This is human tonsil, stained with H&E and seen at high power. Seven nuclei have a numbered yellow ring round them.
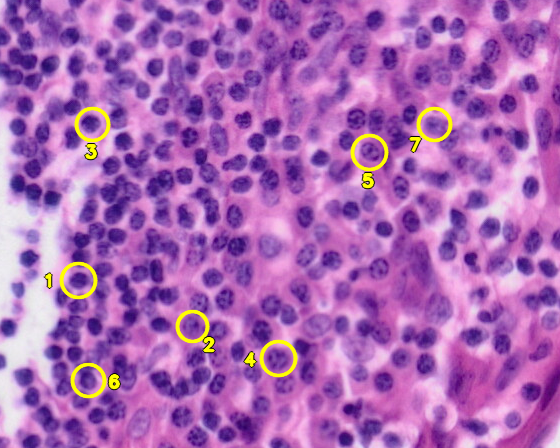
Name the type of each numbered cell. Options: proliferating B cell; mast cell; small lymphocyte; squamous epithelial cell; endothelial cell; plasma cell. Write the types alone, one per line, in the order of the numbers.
small lymphocyte
plasma cell
small lymphocyte
plasma cell
plasma cell
small lymphocyte
plasma cell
